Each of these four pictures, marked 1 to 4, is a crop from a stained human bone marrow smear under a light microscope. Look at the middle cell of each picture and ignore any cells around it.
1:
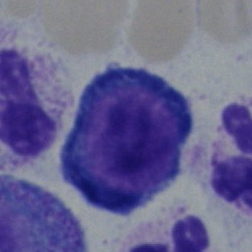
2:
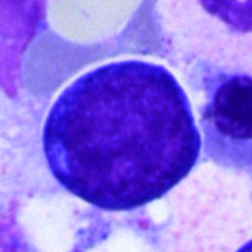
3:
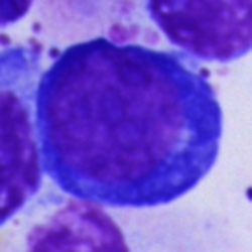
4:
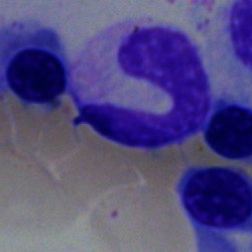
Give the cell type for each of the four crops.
1: proerythroblast
2: proerythroblast
3: proerythroblast
4: band neutrophil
